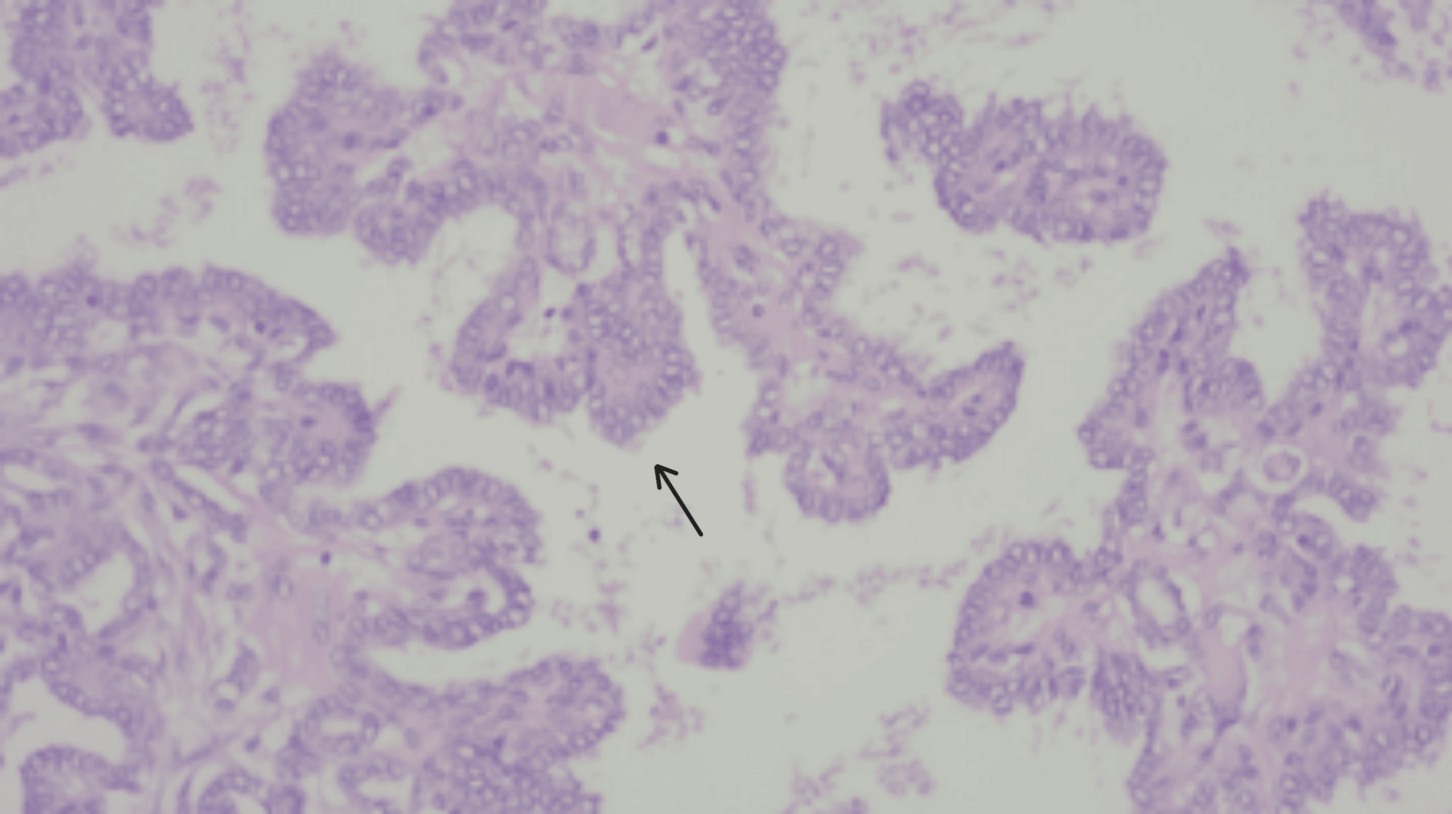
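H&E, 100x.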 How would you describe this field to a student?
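Branching papillary fronds float in a large clear space, each with a thin pale pink stromal core covered by crowded, stacked epithelial cells. The cells have round to oval nuclei, many with a dark rim and a paler centre, and little purple cytoplasm. Together this is the picture of a papillary carcinoma growing within a cyst, its nuclei showing chromatin margination.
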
